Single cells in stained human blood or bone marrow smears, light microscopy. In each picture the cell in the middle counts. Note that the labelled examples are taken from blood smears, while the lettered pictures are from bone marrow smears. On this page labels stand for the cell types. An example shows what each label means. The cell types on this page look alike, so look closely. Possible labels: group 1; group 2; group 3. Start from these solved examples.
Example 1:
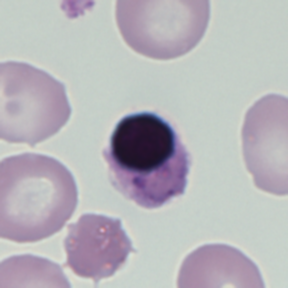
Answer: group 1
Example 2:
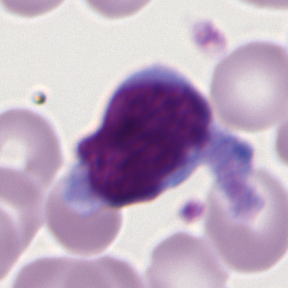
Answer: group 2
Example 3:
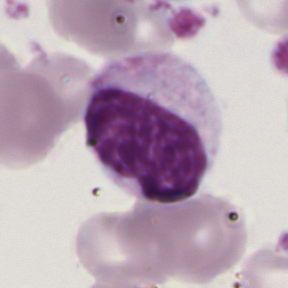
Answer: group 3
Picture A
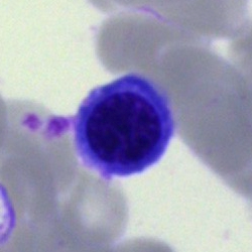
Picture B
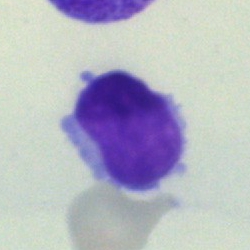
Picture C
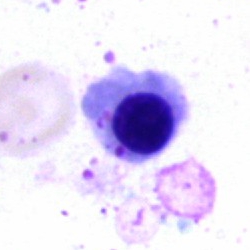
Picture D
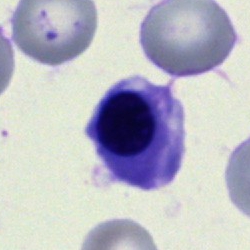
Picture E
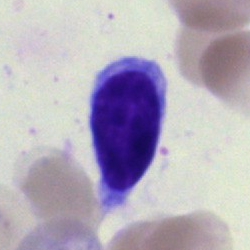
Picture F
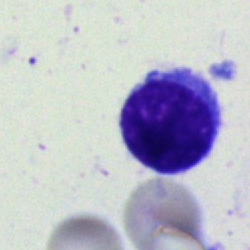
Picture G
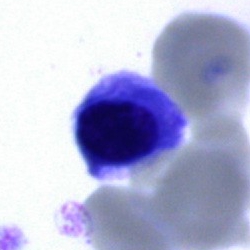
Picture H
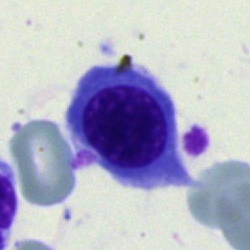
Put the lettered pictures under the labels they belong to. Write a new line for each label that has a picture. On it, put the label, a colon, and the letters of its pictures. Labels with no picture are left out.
group 1: A, C, D, G, H
group 2: B, E, F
